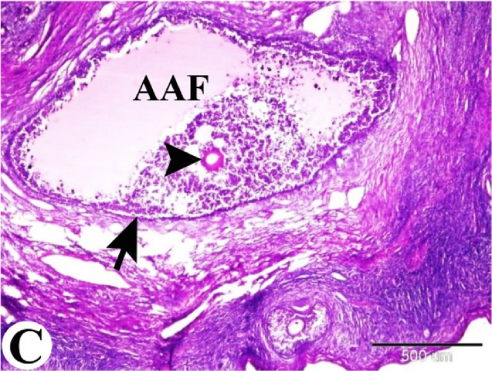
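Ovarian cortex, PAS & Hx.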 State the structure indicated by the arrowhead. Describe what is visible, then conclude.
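A small bright magenta ring lies within the follicle cavity among loose cells. The ring is more intensely stained than the surrounding cells.
Answer: zona pellucida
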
